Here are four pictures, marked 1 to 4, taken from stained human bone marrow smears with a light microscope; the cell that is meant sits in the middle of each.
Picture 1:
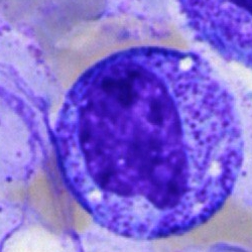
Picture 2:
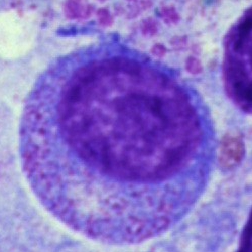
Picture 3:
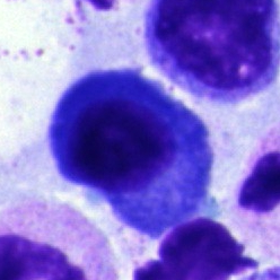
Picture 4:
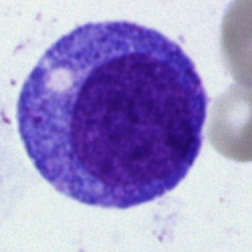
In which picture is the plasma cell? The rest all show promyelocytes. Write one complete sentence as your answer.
The plasma cell is the one in picture 3.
